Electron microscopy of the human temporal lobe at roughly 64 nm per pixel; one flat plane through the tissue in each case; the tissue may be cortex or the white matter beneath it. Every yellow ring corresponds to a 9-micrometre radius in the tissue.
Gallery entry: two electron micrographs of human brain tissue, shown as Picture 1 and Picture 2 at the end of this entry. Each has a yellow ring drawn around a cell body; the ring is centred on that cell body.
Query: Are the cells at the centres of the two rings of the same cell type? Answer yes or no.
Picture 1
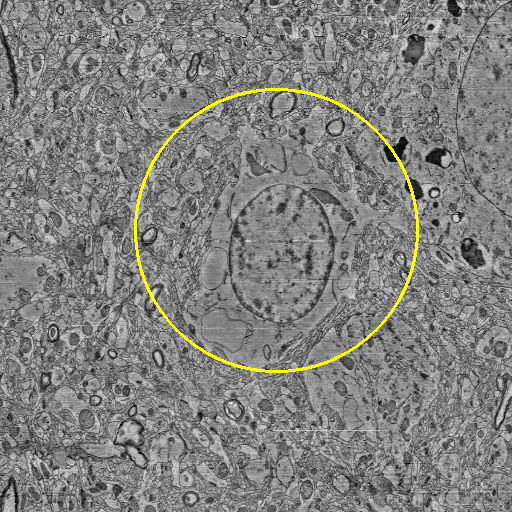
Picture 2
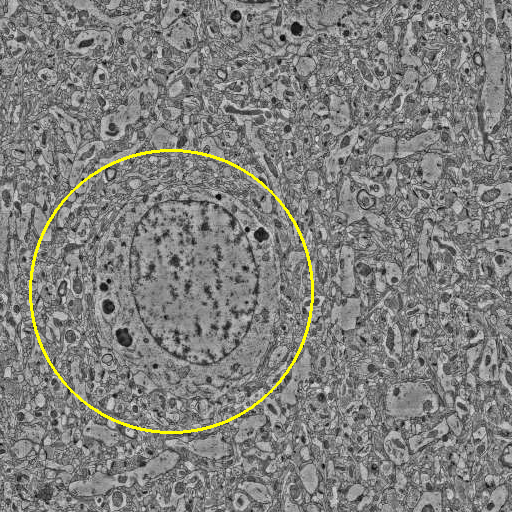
no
